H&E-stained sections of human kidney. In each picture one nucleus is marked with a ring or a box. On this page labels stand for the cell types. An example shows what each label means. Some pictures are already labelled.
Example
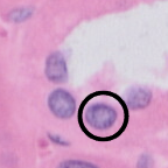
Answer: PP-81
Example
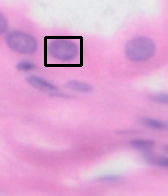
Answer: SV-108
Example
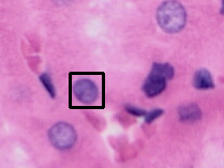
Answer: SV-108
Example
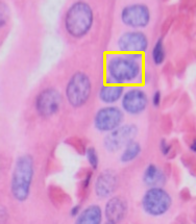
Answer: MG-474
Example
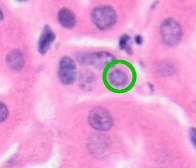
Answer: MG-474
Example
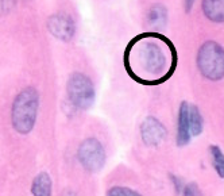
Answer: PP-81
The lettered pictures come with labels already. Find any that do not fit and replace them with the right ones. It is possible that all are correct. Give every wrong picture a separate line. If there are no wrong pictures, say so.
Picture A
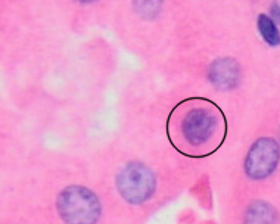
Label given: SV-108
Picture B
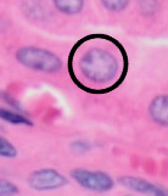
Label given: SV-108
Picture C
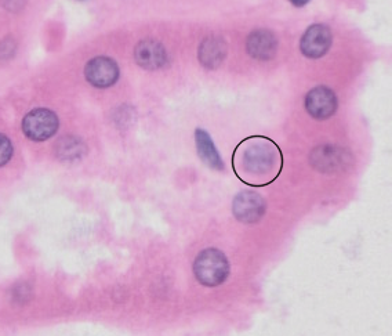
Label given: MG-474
C should be SV-108, not MG-474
